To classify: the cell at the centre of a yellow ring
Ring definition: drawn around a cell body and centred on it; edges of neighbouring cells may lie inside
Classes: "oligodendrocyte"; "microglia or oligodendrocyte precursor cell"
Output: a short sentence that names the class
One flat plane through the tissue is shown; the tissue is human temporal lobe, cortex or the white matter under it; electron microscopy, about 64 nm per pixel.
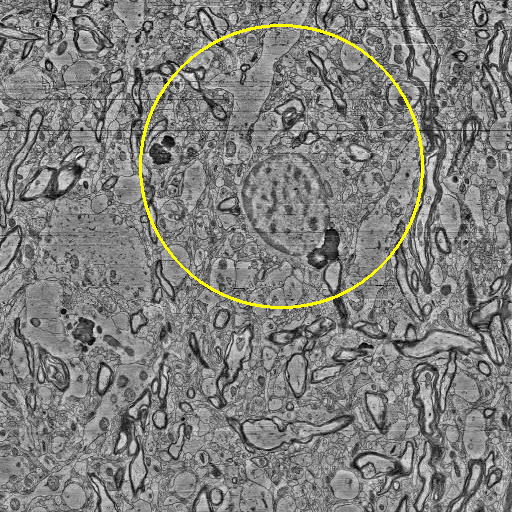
The ringed cell is an oligodendrocyte.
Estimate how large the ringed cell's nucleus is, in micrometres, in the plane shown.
About 7 by 5 micrometers, in this plane.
